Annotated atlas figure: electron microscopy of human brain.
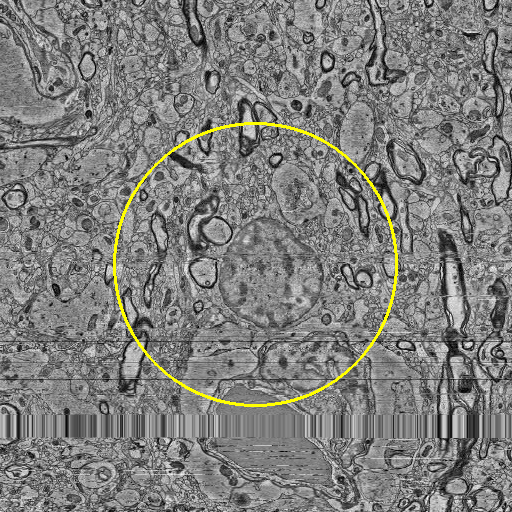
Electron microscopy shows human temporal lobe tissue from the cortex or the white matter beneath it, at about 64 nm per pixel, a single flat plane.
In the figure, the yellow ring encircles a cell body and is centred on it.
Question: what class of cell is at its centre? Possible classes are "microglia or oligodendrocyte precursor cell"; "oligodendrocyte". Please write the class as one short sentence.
The yellow ring is drawn around an oligodendrocyte.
